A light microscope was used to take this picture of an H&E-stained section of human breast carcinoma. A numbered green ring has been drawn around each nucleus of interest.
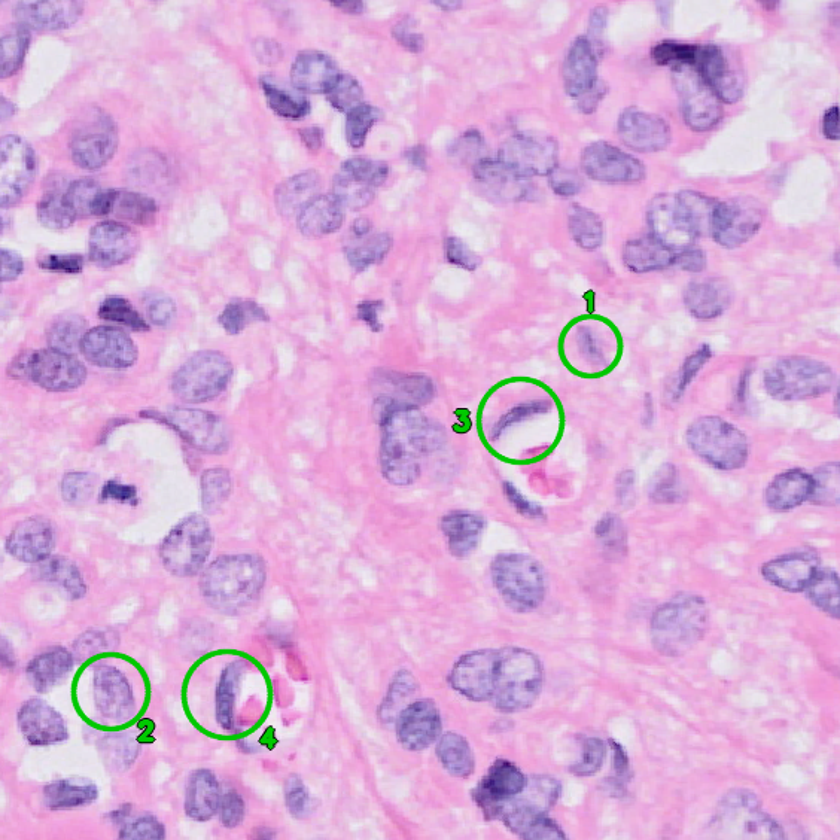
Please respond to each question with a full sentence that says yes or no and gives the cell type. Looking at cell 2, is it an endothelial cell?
No, the cell that carries number 2 is a carcinoma cell, not an endothelial cell.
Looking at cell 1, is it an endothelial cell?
No, the correct answer for cell 1 is a fibroblast, not an endothelial cell.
